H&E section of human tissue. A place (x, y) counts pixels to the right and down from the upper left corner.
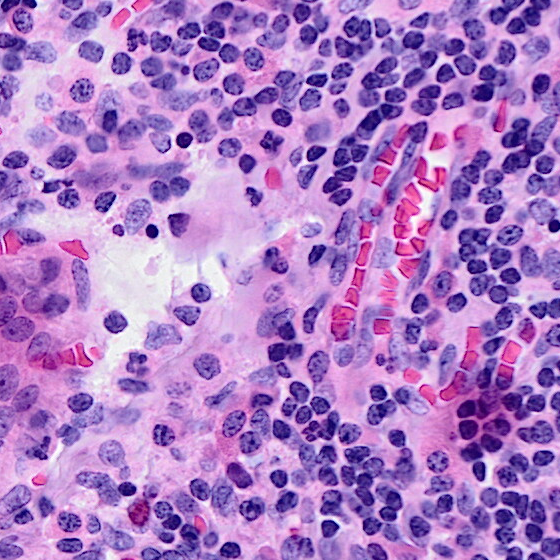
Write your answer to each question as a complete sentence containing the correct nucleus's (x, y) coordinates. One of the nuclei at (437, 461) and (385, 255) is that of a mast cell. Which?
Between the two nuclei, the one sitting at (437, 461) belongs to a mast cell.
